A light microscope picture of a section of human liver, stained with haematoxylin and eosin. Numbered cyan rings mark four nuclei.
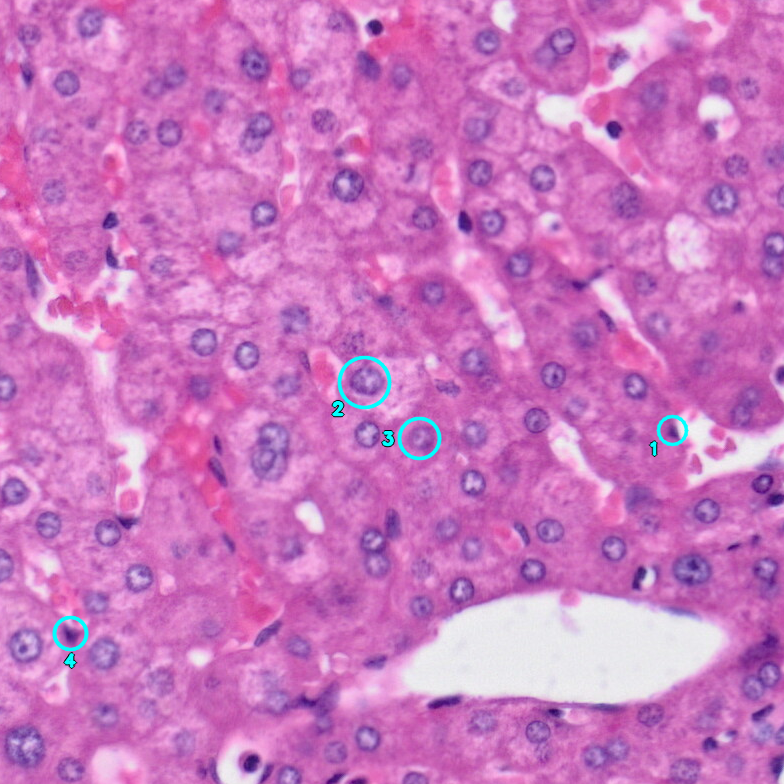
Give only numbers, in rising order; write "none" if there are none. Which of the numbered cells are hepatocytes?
2, 3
